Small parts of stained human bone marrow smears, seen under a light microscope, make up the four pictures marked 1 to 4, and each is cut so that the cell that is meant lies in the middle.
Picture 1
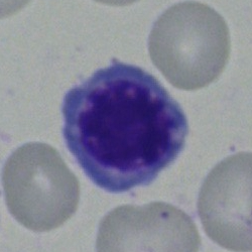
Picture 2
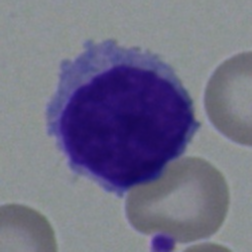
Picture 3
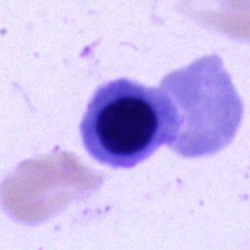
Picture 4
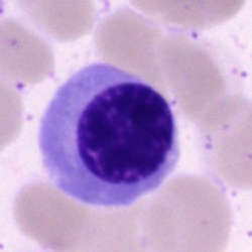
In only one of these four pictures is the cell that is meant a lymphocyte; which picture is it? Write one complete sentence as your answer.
The lymphocyte is the one in picture 2.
